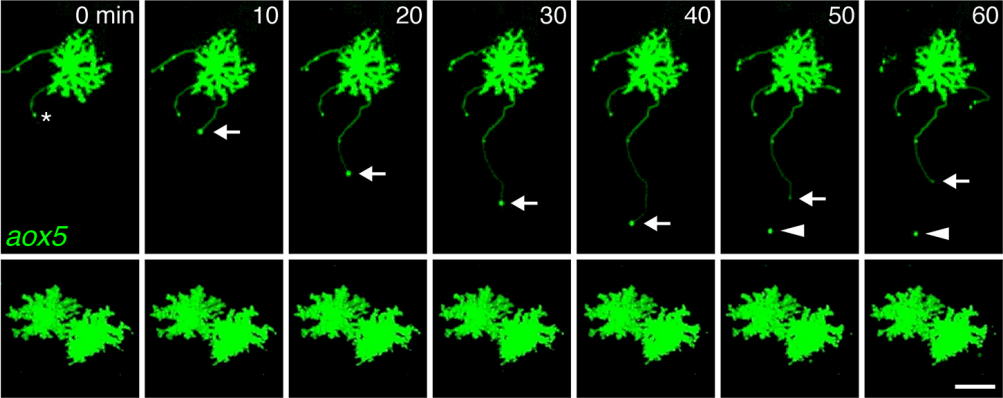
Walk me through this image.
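In the upper row a densely branched, bushy cell sends out long, very thin projections, each ending in a small bright bead. Over the frames one projection grows steadily downward and then draws back, leaving its tip bead behind as a free vesicle. In the lower row two similarly bushy, closely branched cells lie side by side and stay much the same from frame to frame, without any long thin projections.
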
